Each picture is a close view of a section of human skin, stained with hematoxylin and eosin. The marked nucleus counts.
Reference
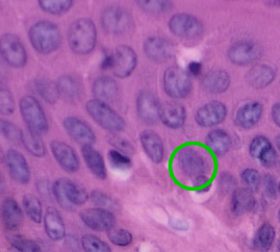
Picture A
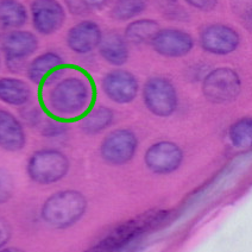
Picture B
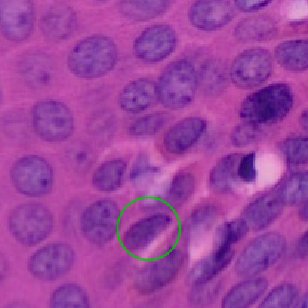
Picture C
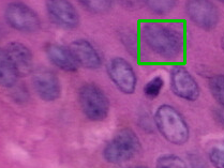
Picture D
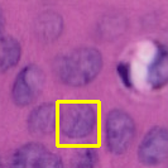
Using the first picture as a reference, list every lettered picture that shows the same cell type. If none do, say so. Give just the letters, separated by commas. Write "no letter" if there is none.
B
